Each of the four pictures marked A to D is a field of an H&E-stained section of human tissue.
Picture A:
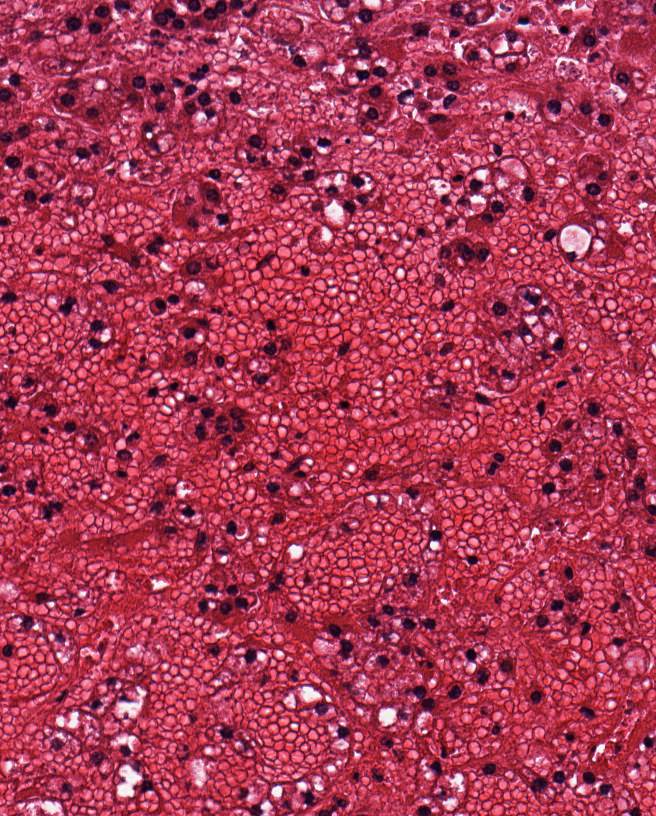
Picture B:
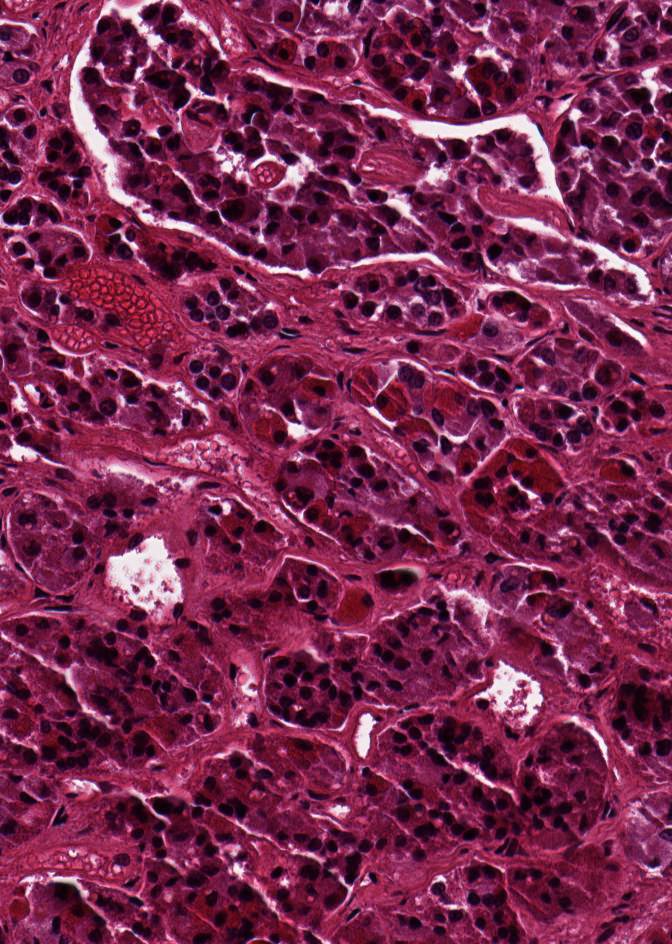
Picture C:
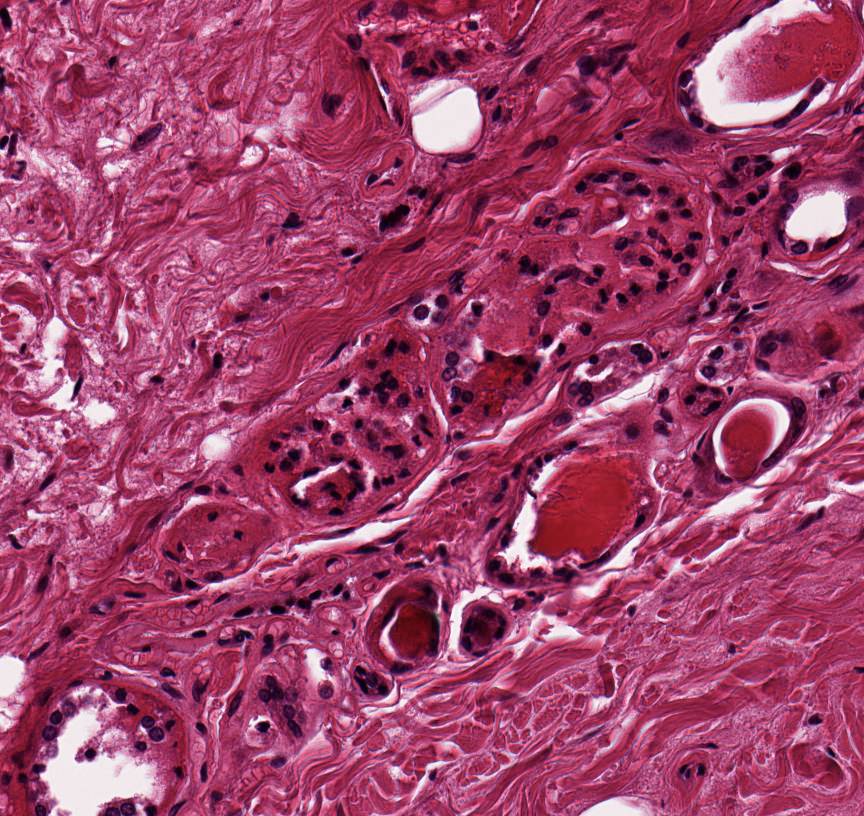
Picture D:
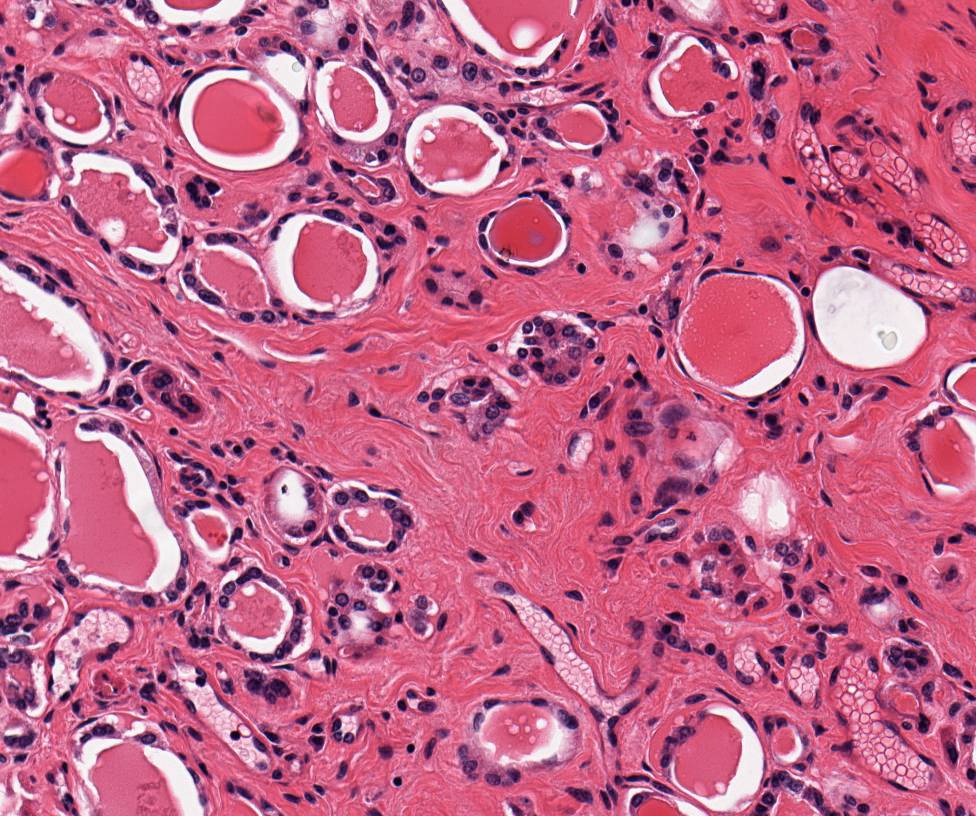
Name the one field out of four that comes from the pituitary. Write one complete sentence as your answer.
Picture B comes from the pituitary.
